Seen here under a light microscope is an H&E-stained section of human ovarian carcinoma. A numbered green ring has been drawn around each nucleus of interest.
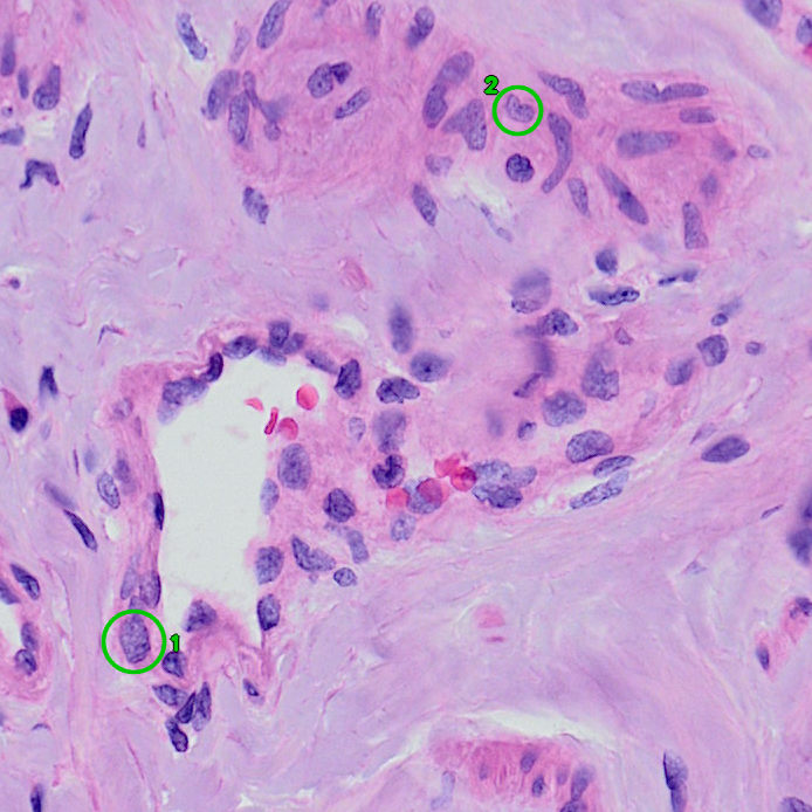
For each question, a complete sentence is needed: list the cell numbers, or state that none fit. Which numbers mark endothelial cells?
Only nucleus 1 belongs to an endothelial cell; the other numbered nuclei do not.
